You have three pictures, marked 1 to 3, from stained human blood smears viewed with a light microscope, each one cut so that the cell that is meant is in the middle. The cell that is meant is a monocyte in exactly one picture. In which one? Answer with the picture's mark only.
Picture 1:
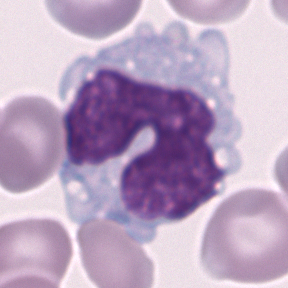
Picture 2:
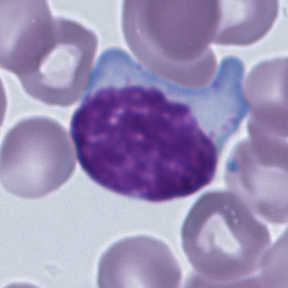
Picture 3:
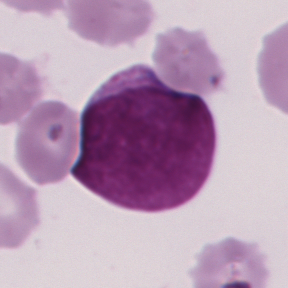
1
